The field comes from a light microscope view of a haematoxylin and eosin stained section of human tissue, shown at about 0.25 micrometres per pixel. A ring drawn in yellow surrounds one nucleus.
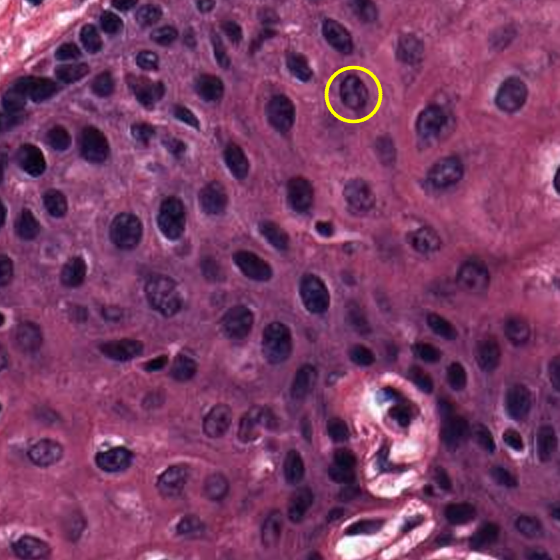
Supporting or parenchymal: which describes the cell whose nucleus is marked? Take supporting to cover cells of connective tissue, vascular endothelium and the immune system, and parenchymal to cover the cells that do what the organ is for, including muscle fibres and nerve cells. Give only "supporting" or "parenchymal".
parenchymal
